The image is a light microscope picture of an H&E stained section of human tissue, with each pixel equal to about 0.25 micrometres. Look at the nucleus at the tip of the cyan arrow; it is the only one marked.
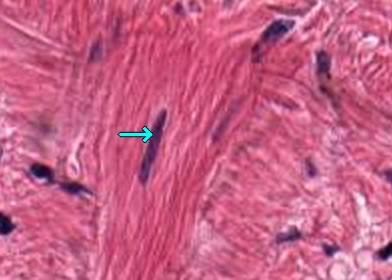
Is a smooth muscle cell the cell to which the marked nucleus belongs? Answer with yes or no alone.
yes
